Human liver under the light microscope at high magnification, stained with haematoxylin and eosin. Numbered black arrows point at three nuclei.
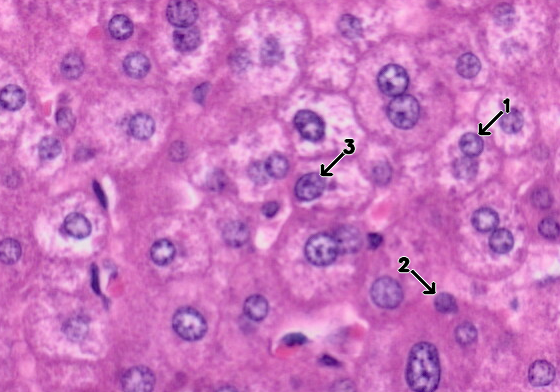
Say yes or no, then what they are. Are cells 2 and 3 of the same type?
No, cell 2 here is an endothelial cell and cell 3 here is a hepatocyte.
